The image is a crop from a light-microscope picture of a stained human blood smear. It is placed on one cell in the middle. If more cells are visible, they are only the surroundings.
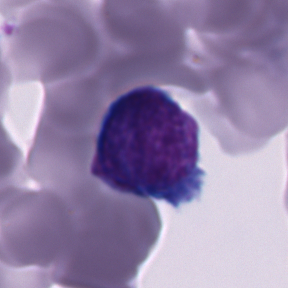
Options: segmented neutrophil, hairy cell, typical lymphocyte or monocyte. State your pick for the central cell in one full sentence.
In short, the cell at the center is a typical lymphocyte.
